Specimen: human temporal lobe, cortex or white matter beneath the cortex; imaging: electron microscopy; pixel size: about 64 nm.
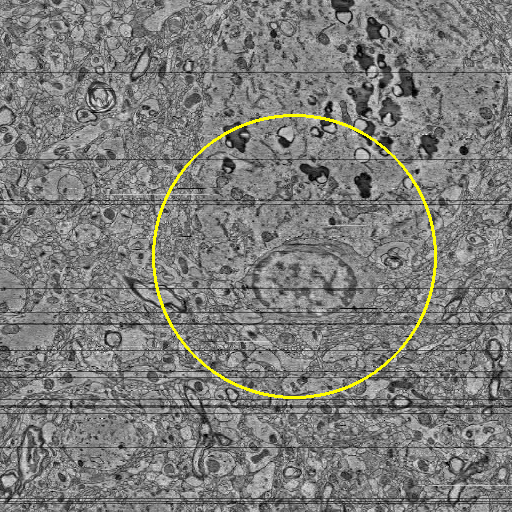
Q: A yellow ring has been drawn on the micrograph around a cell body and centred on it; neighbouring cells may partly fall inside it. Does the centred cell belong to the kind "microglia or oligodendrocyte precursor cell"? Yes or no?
No, it belongs to another kind.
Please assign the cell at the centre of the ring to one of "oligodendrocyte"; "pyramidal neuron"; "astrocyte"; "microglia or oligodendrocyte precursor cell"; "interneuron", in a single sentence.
The cell circled by the yellow ring is an oligodendrocyte.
